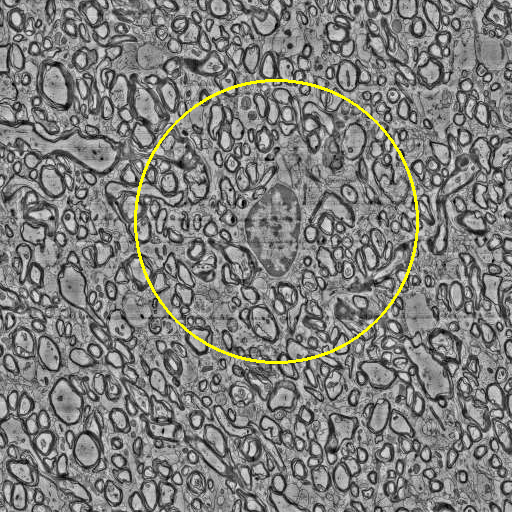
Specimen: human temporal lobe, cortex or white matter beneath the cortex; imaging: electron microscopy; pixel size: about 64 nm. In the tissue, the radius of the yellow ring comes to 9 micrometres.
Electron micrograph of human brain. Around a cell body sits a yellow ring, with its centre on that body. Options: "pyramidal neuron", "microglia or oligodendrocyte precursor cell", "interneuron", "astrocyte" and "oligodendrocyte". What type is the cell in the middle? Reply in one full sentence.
The cell sitting at the centre of the yellow ring is a microglial cell or oligodendrocyte precursor cell.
